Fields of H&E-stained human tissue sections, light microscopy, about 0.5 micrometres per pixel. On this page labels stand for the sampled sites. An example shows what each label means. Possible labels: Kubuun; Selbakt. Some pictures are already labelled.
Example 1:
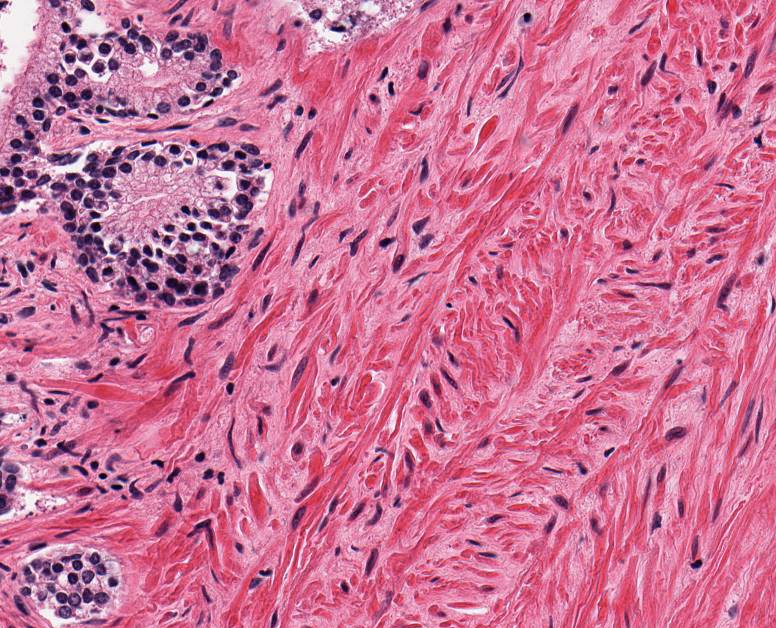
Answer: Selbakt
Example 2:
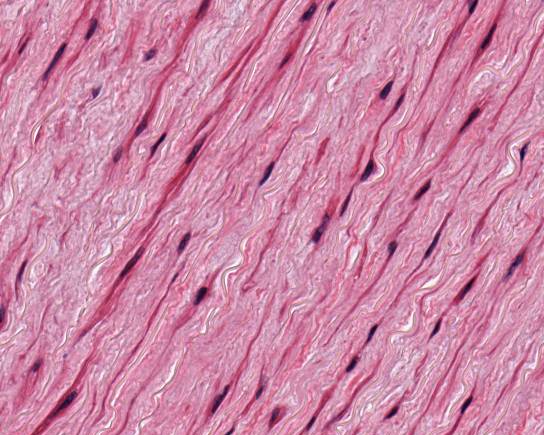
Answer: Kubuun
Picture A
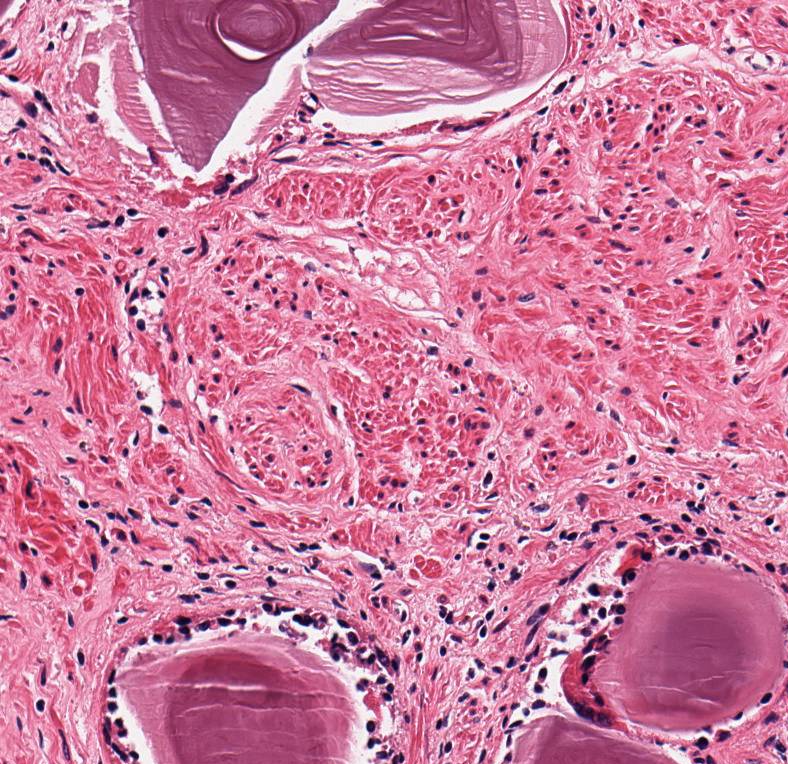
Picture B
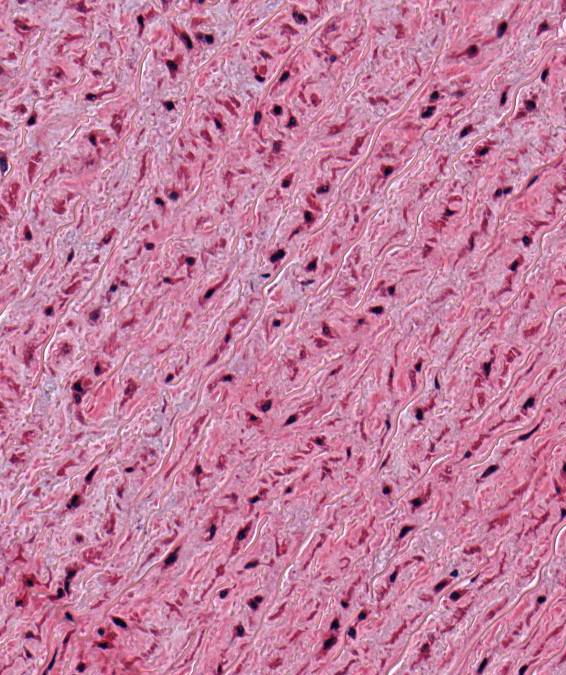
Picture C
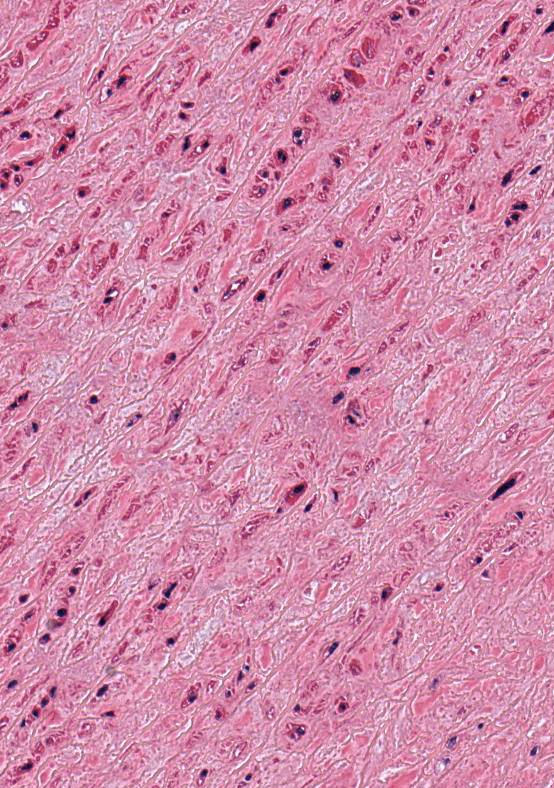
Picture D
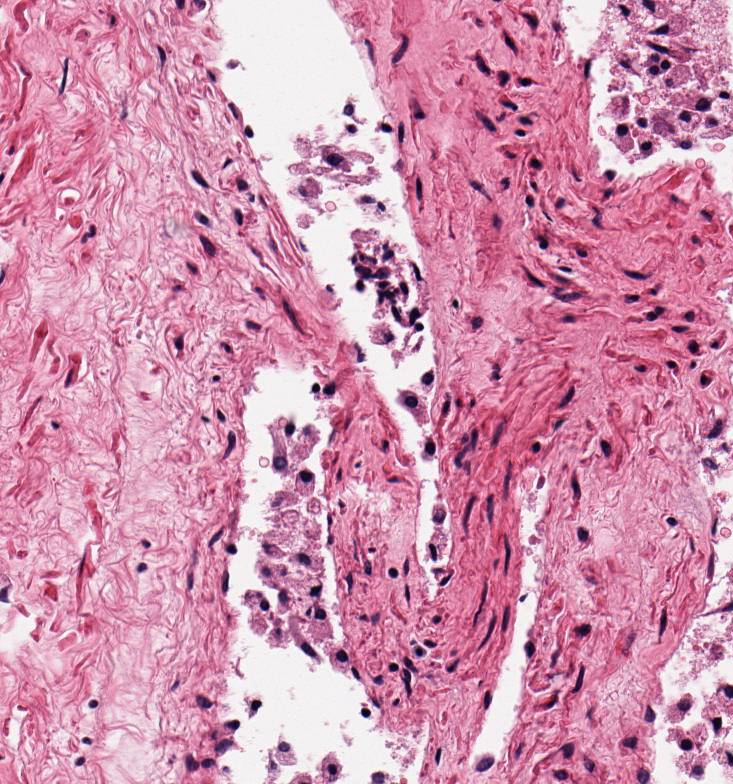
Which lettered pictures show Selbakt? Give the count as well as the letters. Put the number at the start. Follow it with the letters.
2, namely A, D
